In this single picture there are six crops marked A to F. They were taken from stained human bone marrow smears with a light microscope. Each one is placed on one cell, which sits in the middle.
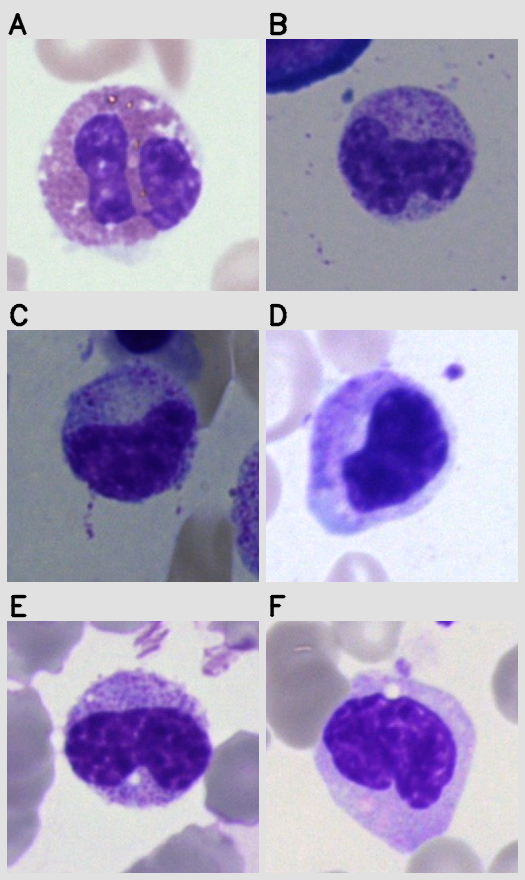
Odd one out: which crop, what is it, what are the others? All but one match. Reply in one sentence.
Crop A does not fit, being an eosinophil where all the others show metamyelocytes.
